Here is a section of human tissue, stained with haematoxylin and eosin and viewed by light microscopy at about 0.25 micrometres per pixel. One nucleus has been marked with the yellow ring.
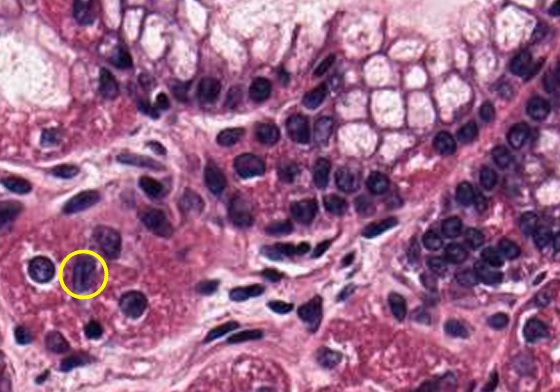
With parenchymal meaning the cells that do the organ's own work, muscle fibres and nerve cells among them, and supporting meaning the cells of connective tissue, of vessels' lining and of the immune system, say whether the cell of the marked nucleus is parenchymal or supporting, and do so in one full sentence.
The marked nucleus, belonging to a parenchymal cell, is that of a parietal cell.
